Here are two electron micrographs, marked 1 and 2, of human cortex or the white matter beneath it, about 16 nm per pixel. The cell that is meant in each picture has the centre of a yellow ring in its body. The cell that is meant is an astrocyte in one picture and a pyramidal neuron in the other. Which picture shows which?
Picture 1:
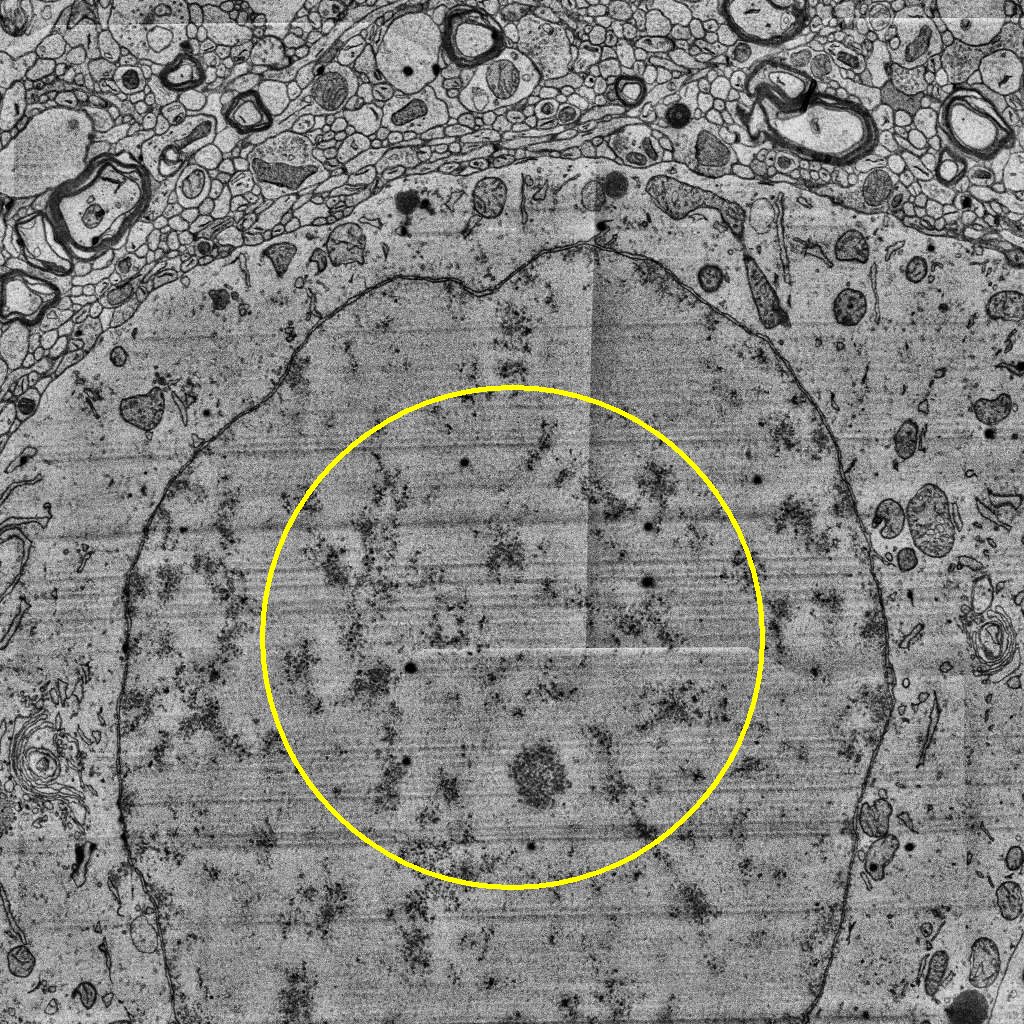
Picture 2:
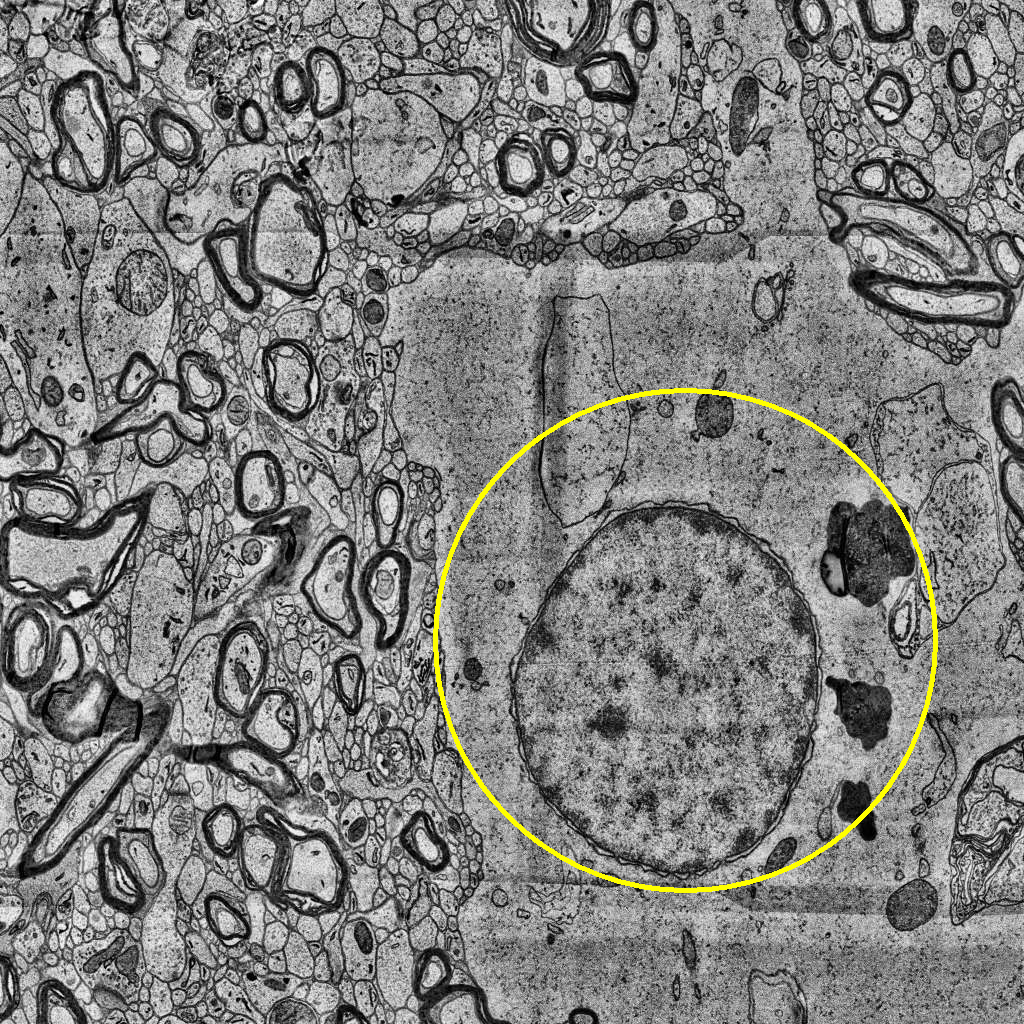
Picture 2 shows an astrocyte, while picture 1 shows a pyramidal neuron.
